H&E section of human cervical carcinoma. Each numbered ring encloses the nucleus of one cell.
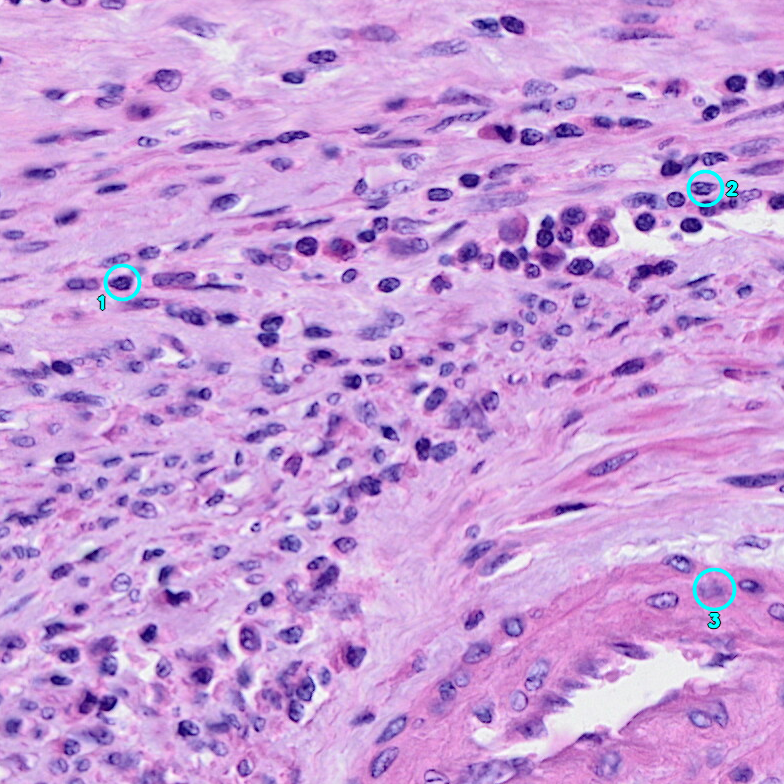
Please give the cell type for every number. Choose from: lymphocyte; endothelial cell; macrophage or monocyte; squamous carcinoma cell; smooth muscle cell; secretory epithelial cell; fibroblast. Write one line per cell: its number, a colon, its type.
1: lymphocyte
2: lymphocyte
3: smooth muscle cell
